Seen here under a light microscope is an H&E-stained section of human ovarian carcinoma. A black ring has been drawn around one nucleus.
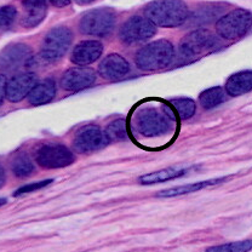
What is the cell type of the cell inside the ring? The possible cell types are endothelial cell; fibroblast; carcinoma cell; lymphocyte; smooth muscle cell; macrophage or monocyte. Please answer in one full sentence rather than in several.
In this section of tissue, the cell inside the ring is a carcinoma cell.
